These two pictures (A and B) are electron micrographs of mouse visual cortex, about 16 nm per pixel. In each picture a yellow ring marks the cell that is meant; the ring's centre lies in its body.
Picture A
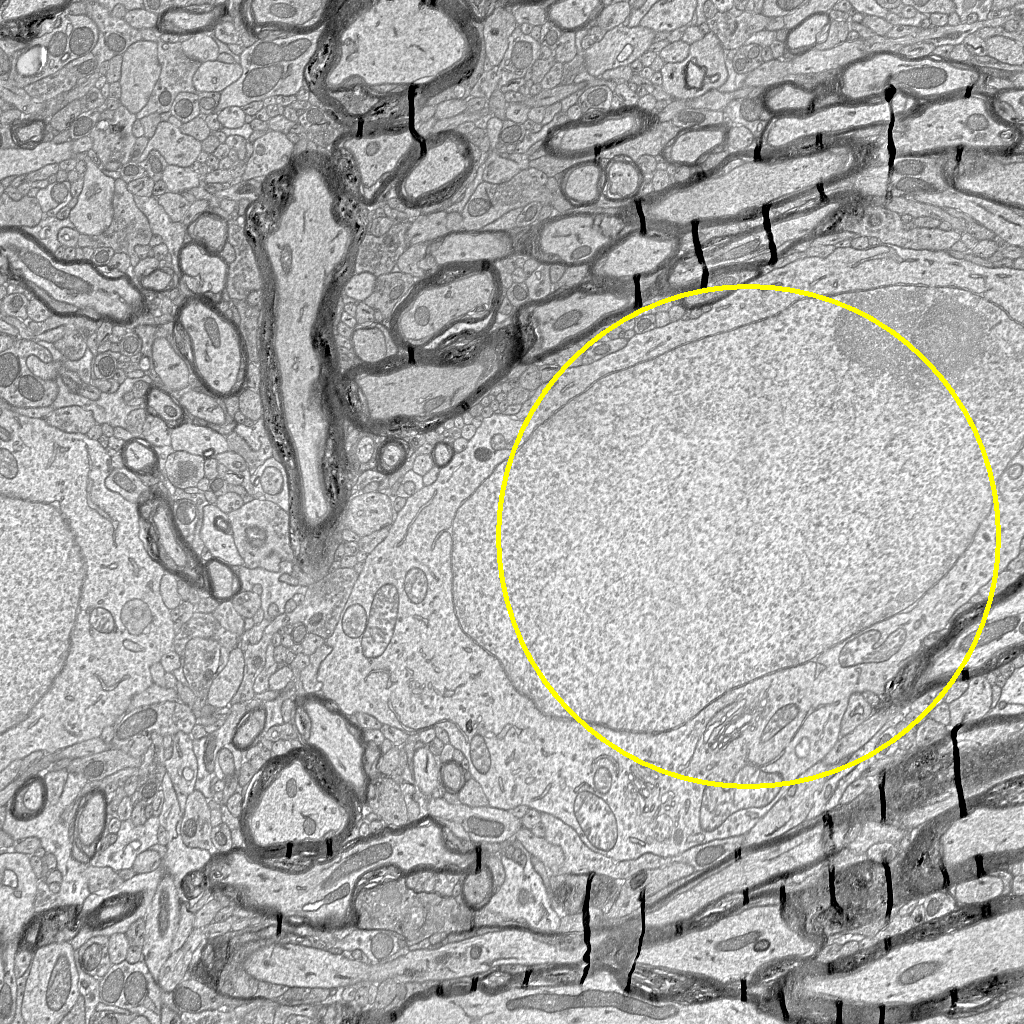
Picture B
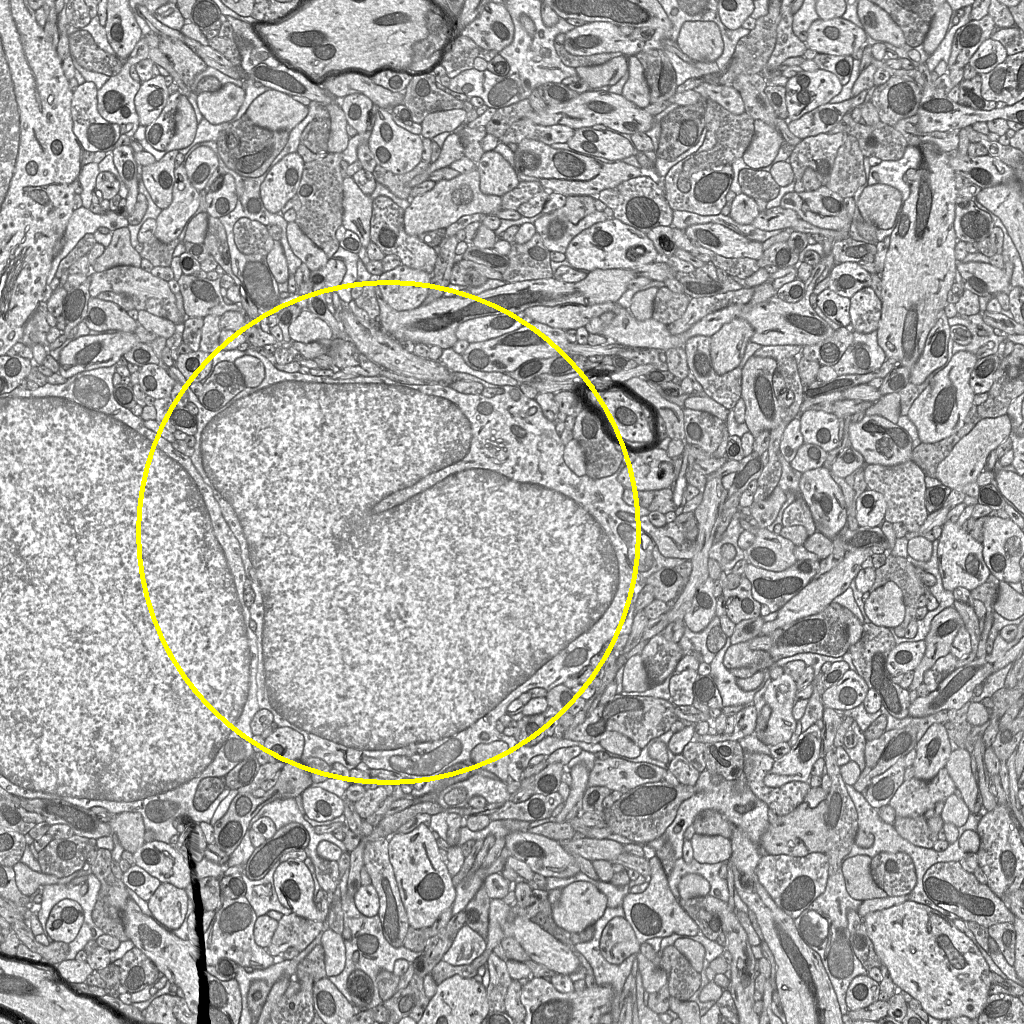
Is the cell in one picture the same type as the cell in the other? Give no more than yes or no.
no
